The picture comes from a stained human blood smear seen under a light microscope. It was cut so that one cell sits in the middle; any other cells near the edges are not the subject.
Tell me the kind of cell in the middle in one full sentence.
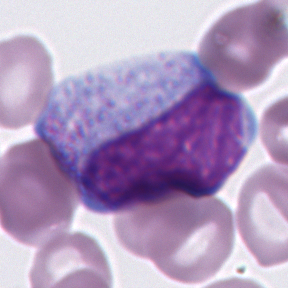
As for the central cell, it is a promyelocyte.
